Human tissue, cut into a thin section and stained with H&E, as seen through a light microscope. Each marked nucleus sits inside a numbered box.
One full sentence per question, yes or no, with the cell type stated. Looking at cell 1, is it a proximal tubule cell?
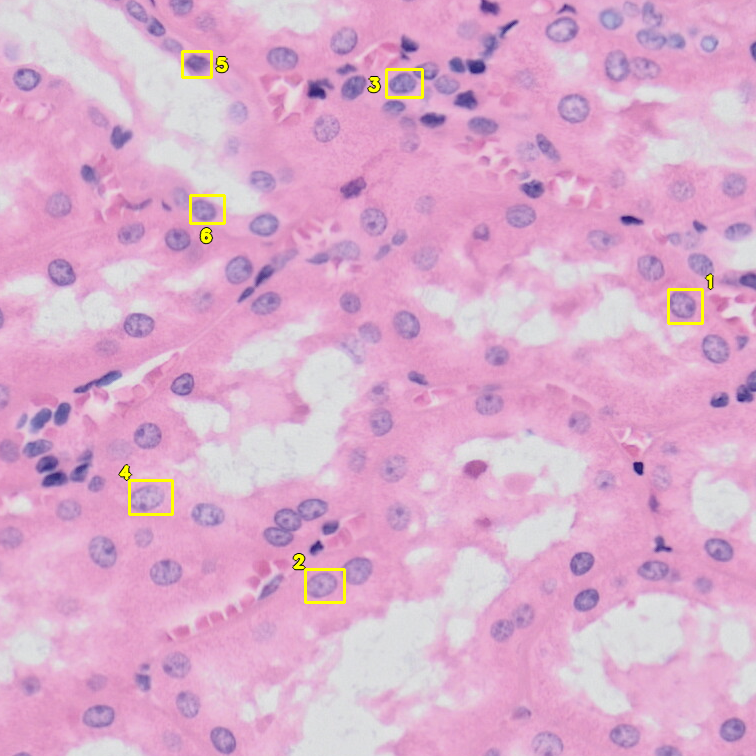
Yes, the numbered nucleus 1 is that of a proximal tubule cell.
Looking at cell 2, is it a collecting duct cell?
No, cell number 2 is identified as a proximal tubule cell, not as a collecting duct cell.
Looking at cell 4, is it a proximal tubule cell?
Yes, regarding cell number 4, it is a proximal tubule cell.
